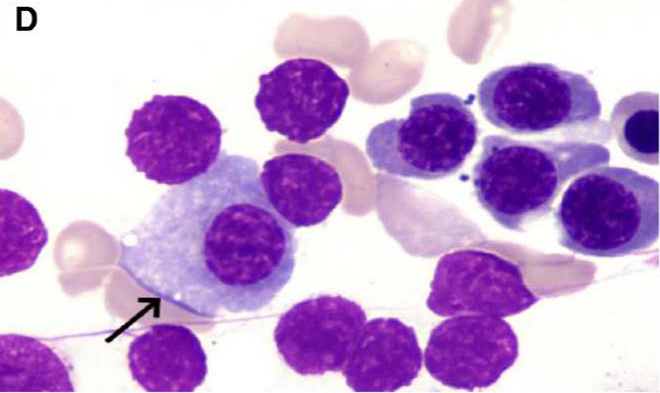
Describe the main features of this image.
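Many round cells crowd this marrow field, most with dense round nuclei of clumped chromatin and only a scant or narrow rim of cytoplasm, some of it deep blue. Red cells lie between them. Toward the lower left one cell stands out, with a round nucleus pushed to one side and a wide sheet of pale blue cytoplasm around it. This larger cell with its eccentric nucleus is a plasma cell.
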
